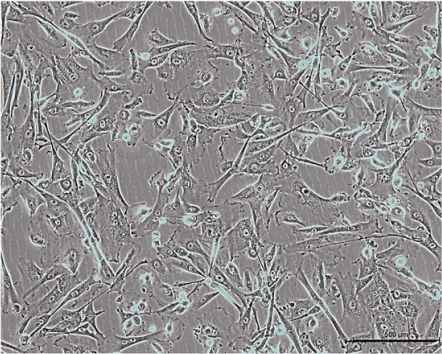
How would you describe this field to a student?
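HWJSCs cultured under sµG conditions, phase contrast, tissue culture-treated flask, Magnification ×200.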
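Many cells are spread and spindle-shaped or star-shaped, with long slender processes reaching out across the open surface. Between them lie flattened, broader cells with oval nuclei and a granular cytoplasm. Numerous small rounded cells with a bright, pale bluish halo sit among the spread cells. Patches of bare surface are seen between the cells.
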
